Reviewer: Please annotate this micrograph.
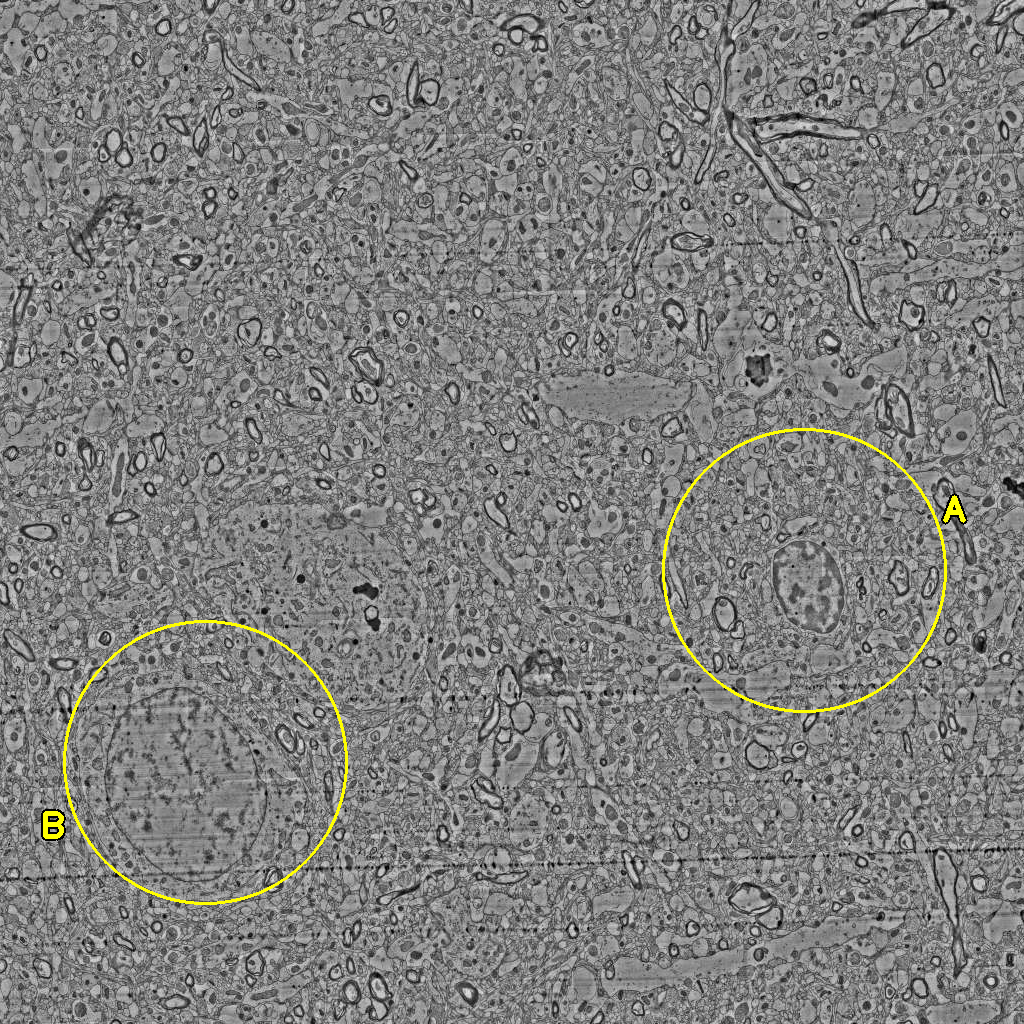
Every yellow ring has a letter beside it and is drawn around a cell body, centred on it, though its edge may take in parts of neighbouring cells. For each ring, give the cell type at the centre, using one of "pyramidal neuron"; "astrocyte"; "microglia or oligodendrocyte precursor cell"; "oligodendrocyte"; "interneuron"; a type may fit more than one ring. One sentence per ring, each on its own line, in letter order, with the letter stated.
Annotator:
The cell in the middle of ring A is a microglial cell or oligodendrocyte precursor cell.
The cell in the middle of ring B is a pyramidal neuron.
